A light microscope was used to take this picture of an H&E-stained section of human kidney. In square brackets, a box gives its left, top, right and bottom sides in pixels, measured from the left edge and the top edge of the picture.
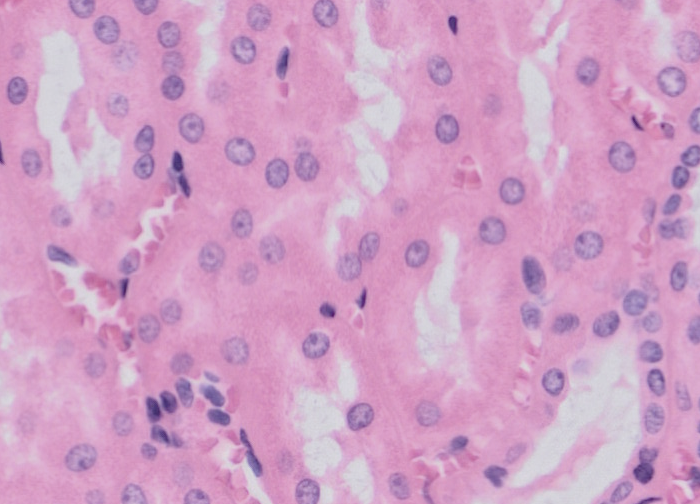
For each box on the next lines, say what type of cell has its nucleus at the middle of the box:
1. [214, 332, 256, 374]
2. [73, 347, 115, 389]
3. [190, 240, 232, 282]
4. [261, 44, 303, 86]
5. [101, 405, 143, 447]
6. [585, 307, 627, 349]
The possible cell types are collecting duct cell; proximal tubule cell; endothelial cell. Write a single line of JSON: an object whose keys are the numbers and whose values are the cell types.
{"1": "proximal tubule cell", "2": "proximal tubule cell", "3": "proximal tubule cell", "4": "endothelial cell", "5": "proximal tubule cell", "6": "collecting duct cell"}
